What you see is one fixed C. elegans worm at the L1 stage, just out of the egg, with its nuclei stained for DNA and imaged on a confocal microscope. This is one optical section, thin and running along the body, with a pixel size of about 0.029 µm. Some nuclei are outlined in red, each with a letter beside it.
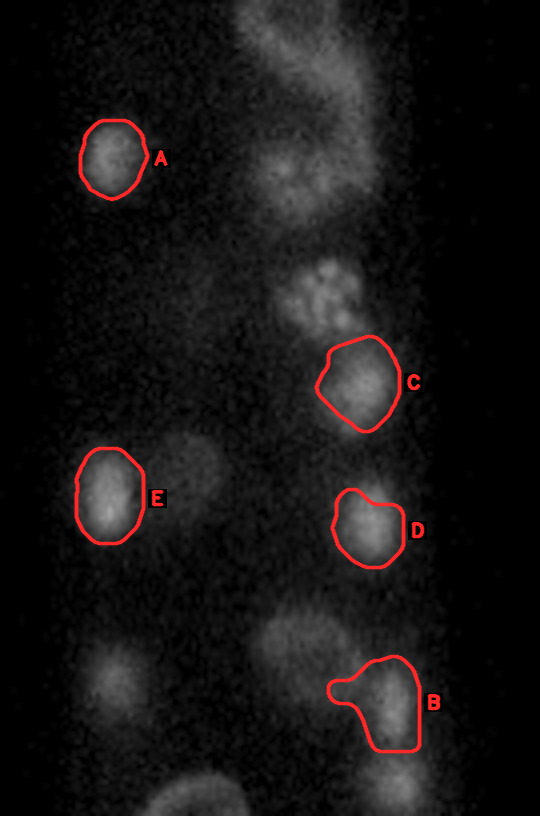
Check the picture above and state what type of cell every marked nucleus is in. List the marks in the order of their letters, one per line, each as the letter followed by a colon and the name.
A: body wall muscle cell
B: neuron
C: neuron
D: neuron
E: body wall muscle cell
